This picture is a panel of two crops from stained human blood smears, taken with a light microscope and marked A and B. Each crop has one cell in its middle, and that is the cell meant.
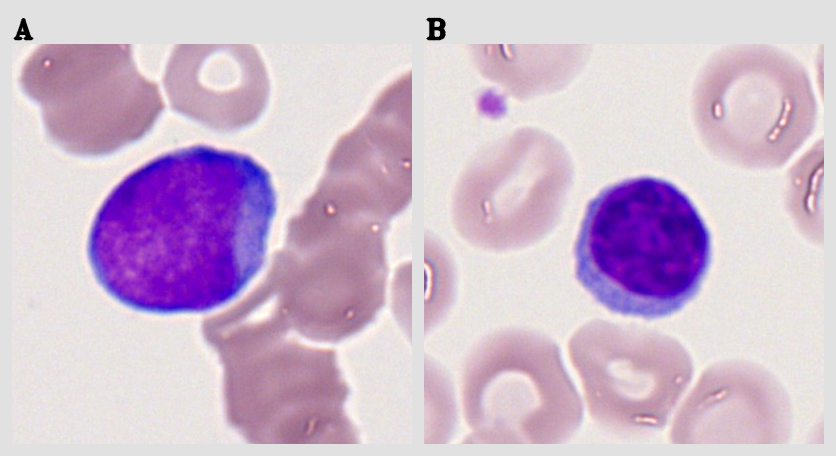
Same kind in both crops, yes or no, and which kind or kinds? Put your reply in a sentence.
No, crop A shows a myeloblast, whereas a lymphocyte is what crop B shows.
